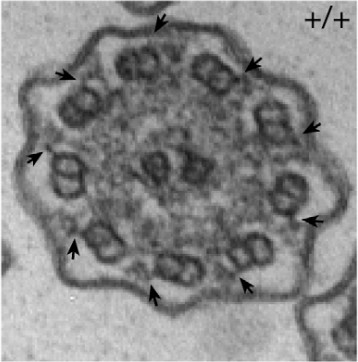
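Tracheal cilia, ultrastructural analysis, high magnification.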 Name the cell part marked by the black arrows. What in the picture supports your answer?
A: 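Outer dynein arms. Nine doublet microtubules ring a central pair. Each black arrow points to a short dense projection on the outer side of a doublet.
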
